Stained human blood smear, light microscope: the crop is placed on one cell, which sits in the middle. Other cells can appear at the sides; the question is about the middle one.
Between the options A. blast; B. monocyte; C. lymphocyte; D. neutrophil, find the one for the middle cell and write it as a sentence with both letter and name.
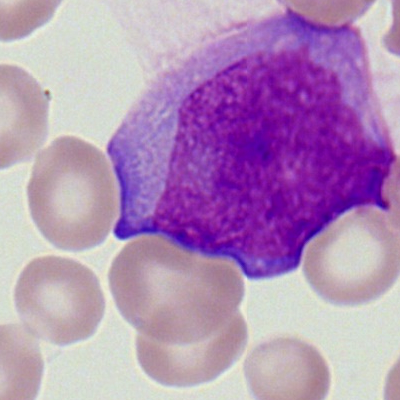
That cell in the center is a blast, hence option A.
